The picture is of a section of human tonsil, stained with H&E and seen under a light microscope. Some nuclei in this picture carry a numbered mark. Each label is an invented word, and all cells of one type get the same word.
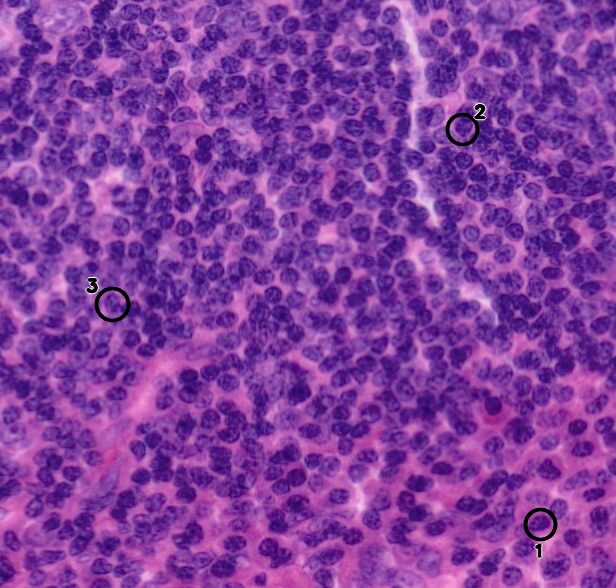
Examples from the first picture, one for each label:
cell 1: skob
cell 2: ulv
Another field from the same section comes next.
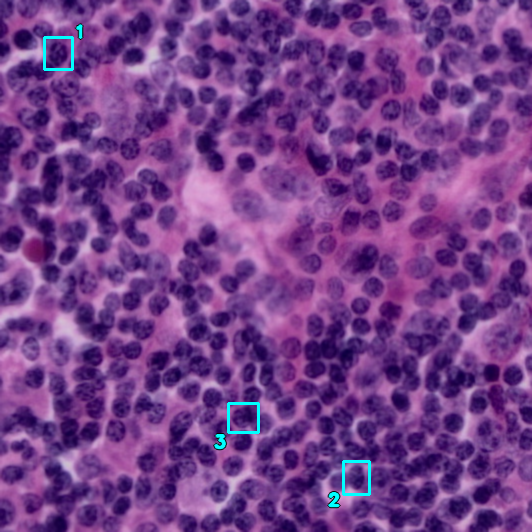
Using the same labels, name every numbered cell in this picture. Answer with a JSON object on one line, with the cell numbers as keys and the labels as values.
{"1": "skob", "2": "ulv", "3": "ulv"}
